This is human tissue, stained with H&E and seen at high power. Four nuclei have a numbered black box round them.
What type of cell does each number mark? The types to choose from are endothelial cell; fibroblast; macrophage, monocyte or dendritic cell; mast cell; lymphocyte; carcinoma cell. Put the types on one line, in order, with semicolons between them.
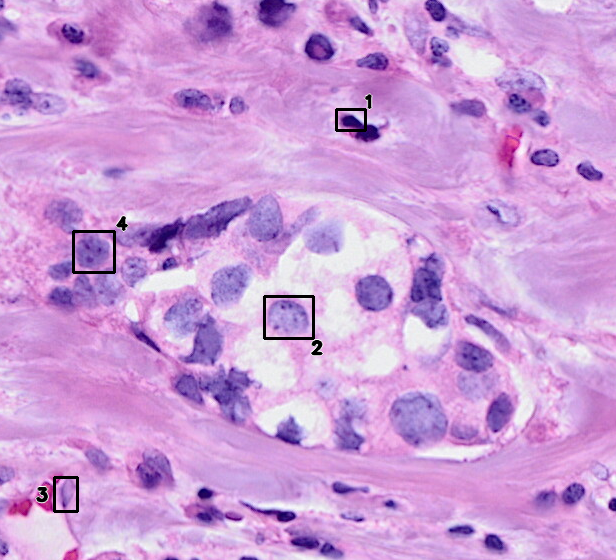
lymphocyte; carcinoma cell; endothelial cell; carcinoma cell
